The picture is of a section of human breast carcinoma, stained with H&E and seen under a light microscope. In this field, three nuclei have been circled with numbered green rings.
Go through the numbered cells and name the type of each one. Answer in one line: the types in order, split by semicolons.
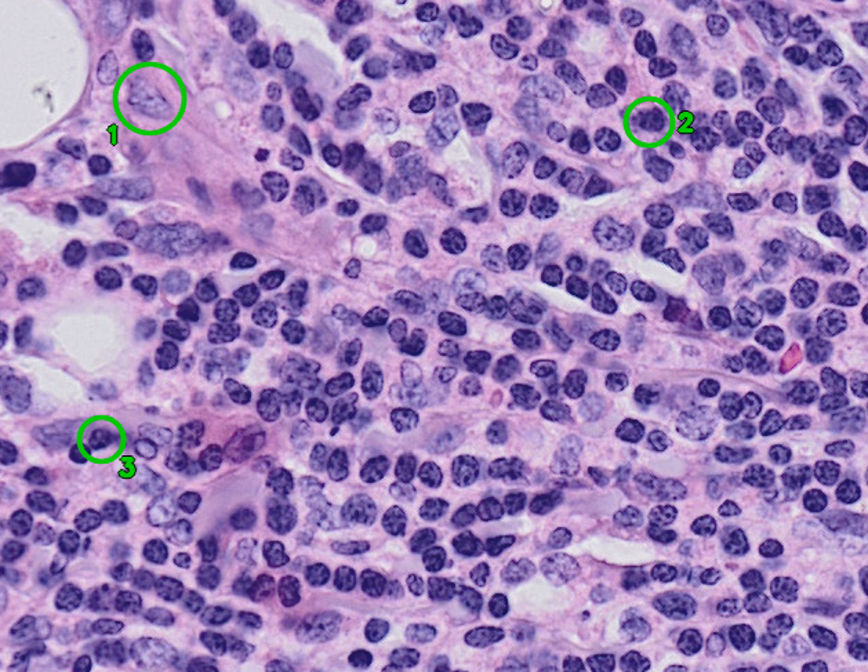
endothelial cell; lymphocyte; lymphocyte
